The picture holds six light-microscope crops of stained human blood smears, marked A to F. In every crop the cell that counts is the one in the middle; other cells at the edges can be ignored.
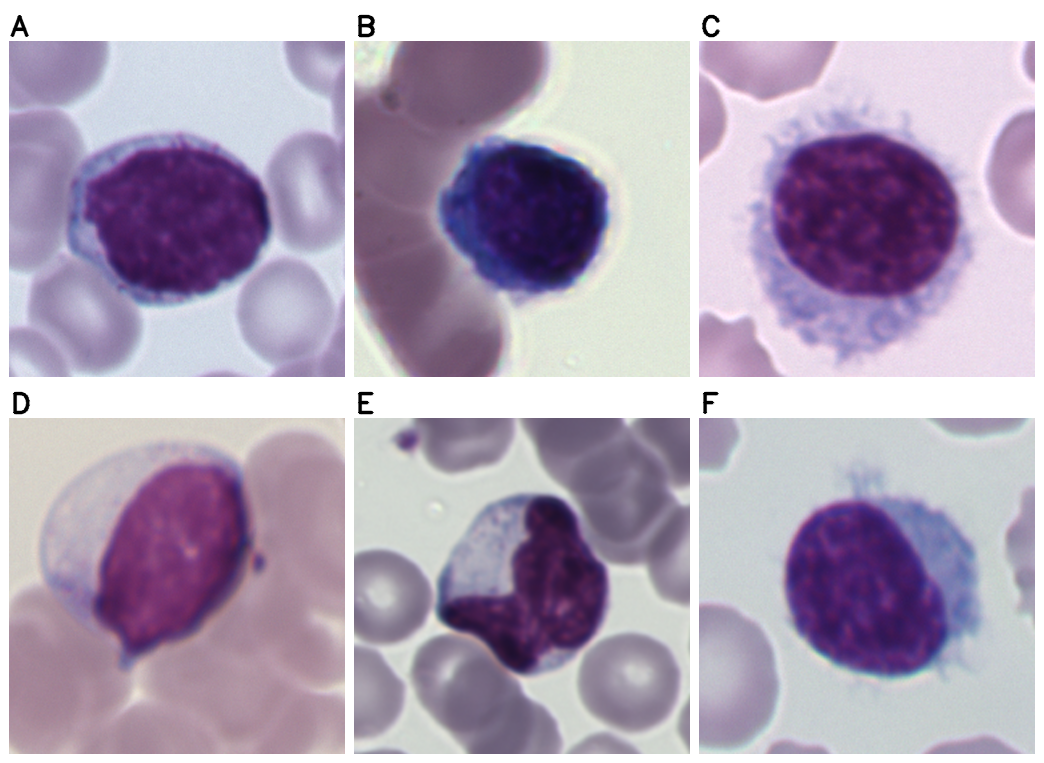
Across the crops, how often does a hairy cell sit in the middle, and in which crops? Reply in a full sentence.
Crops showing hairy cells: two in all, namely C and F.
